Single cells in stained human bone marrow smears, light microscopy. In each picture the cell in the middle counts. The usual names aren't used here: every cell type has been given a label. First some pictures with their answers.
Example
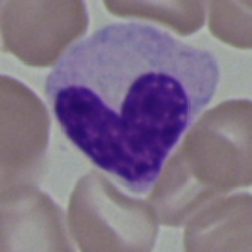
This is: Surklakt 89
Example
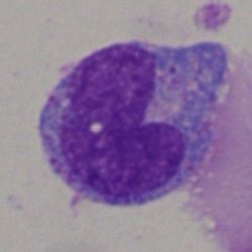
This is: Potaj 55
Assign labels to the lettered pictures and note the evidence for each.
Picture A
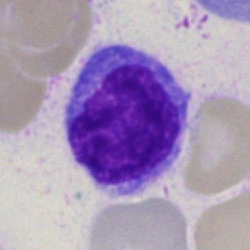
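Answer: Potaj 55. The nucleus fills most of the cell, leaving a narrow rim of cytoplasm.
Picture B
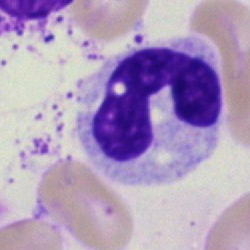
Answer: Surklakt 89. The cytoplasm is abundant and pale lilac-grey.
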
